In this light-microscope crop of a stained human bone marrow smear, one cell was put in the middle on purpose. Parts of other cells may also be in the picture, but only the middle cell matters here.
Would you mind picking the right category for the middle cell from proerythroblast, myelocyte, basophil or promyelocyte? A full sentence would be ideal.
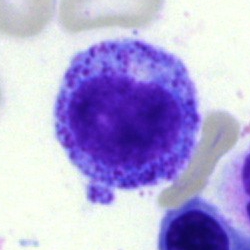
Where the crop is centred, there is a myelocyte.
